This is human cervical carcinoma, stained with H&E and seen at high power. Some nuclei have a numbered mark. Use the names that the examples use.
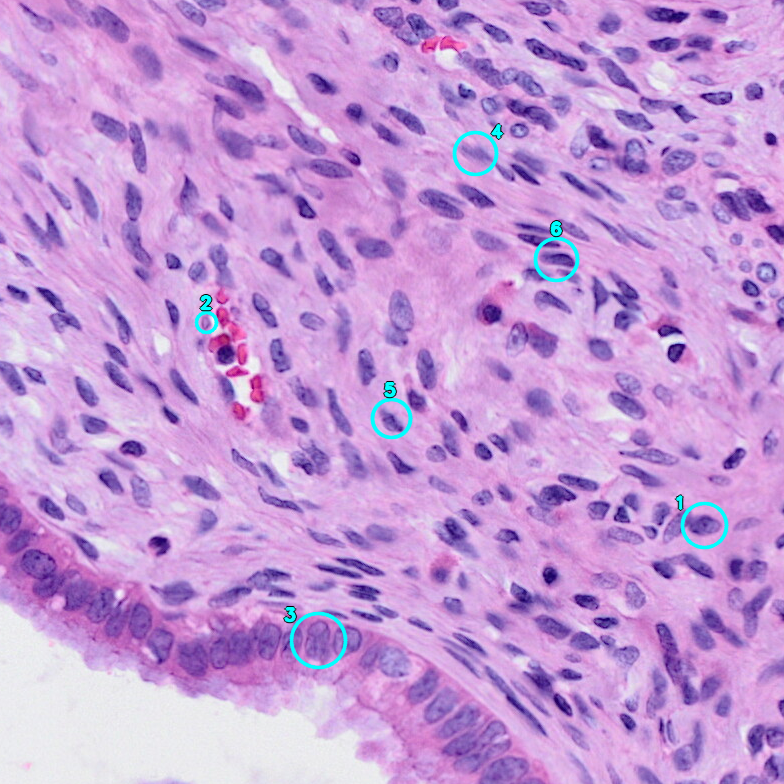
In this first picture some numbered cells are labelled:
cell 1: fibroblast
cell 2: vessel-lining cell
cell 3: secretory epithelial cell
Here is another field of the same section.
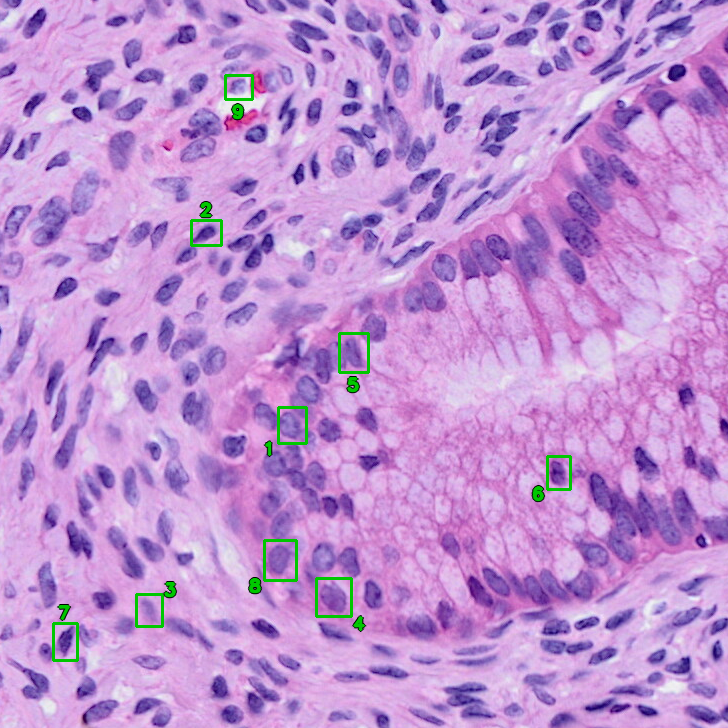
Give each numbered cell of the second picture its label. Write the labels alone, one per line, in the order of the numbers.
secretory epithelial cell
fibroblast
fibroblast
secretory epithelial cell
secretory epithelial cell
secretory epithelial cell
fibroblast
secretory epithelial cell
vessel-lining cell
